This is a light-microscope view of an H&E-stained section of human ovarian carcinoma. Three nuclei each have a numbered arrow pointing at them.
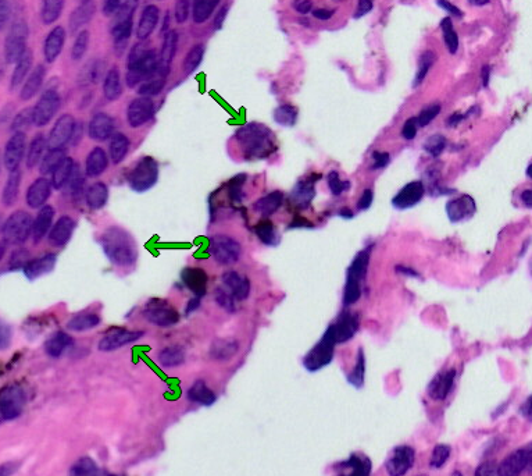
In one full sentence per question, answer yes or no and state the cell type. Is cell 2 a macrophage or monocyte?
No, cell 2 should be classed as a carcinoma cell, not as a macrophage or monocyte.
